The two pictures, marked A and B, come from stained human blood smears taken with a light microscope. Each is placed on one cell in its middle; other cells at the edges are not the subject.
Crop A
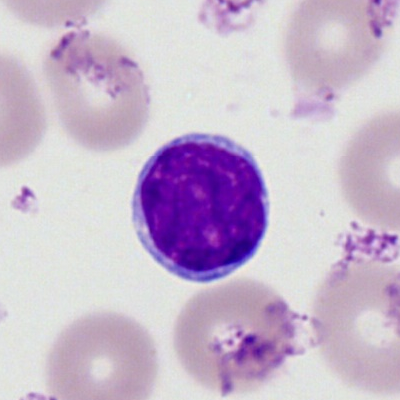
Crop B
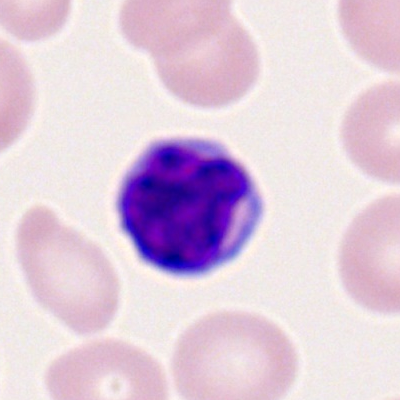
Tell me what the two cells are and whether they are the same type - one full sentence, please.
Yes, both crops show lymphocytes at their middles.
